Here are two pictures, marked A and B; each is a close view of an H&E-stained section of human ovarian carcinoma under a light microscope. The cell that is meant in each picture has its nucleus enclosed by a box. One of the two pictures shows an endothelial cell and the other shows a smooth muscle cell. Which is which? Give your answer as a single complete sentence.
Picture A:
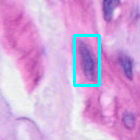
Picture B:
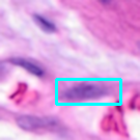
In picture A the cell is a smooth muscle cell; in picture B, an endothelial cell.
